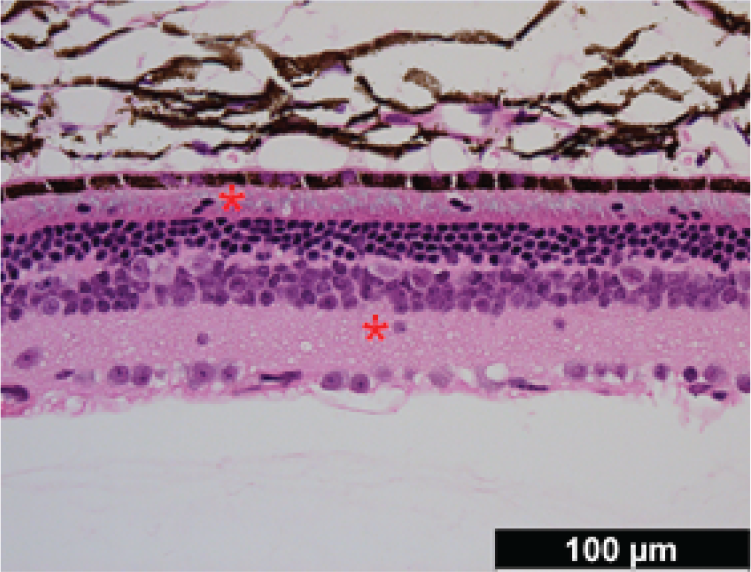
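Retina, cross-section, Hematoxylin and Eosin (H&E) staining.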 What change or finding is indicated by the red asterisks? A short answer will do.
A: Mislocalized cells.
